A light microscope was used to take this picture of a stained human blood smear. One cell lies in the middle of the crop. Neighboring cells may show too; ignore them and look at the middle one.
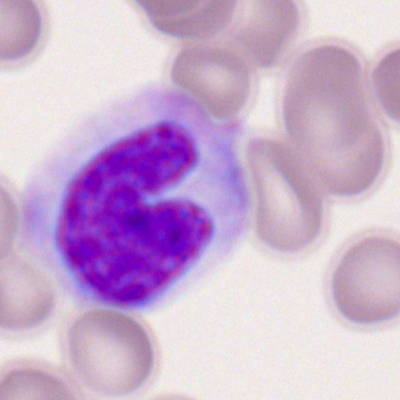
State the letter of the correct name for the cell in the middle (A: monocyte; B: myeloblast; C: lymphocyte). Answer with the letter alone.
A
